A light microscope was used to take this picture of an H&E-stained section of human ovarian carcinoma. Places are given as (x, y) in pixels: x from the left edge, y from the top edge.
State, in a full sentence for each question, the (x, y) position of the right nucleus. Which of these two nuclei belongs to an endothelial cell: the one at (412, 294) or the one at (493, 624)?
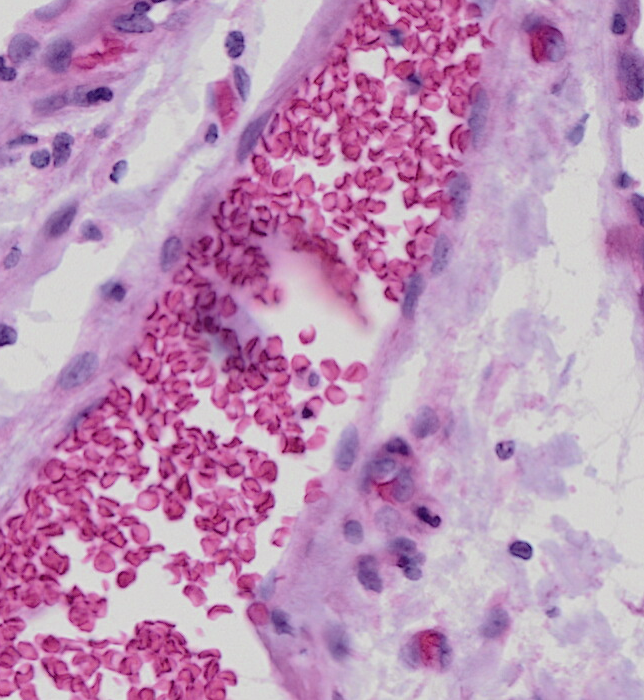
The nucleus at (412, 294) is the member of the pair belonging to an endothelial cell.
